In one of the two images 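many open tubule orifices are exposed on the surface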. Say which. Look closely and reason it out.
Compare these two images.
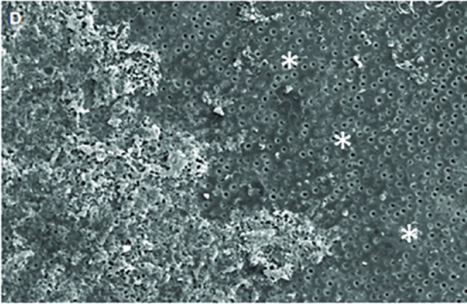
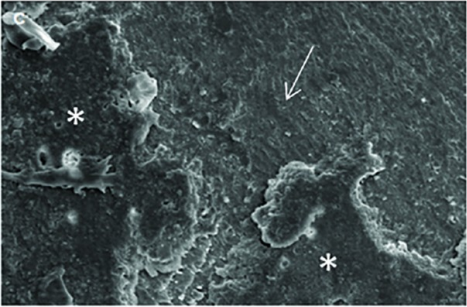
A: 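Second image: the surface is covered and tubule openings are hardly seen. First image: numerous dark round tubule openings dot much of the surface. The answer: the first image.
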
